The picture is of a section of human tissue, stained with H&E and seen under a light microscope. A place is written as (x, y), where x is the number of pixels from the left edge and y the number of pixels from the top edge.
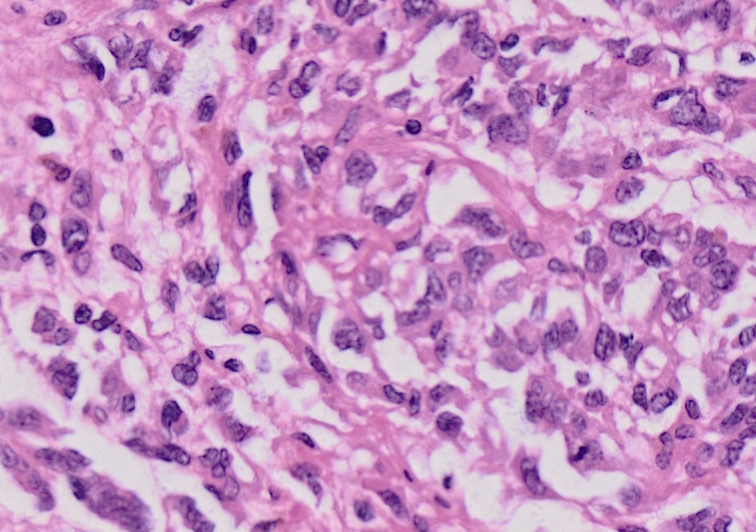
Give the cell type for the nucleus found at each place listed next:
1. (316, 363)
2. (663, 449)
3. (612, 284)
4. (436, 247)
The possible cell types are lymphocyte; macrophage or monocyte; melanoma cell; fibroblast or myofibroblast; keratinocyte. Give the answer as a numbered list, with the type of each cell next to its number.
1. melanoma cell
2. macrophage or monocyte
3. melanoma cell
4. melanoma cell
